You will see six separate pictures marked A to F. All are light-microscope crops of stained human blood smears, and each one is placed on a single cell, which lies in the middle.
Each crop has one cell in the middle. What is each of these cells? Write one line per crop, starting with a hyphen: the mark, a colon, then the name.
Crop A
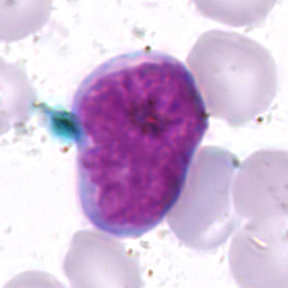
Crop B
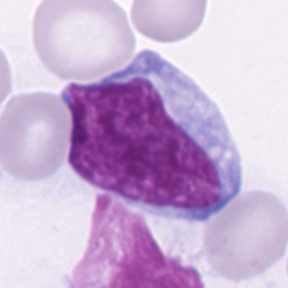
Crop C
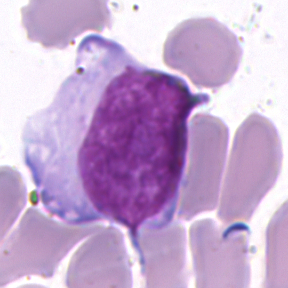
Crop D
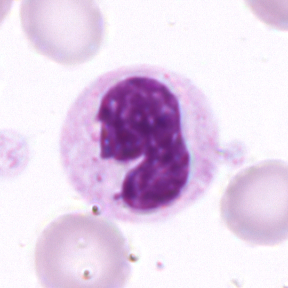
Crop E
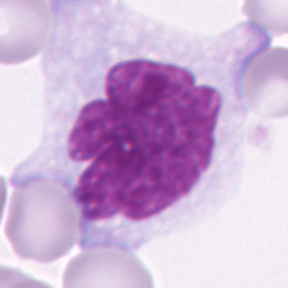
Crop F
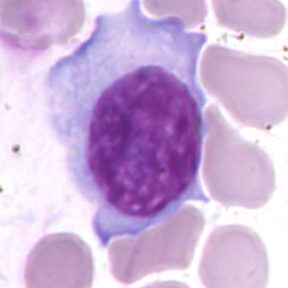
- A: myeloblast
- B: monocyte
- C: plasma cell
- D: band neutrophil
- E: monocyte
- F: plasma cell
